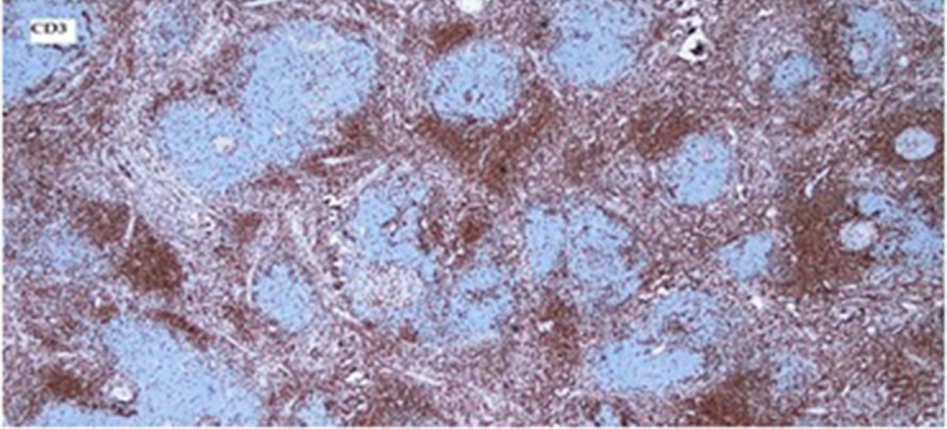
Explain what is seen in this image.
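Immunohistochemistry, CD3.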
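Low-power view of lymphoid tissue with many rounded follicles that stand out as pale blue, largely unstained nodules of varying size. The brown staining is darkest in irregular patches between adjacent follicles and thinner where the tissue is looser. A few scattered brown cells lie within the edges of the pale nodules. Fine vessel profiles and looser stroma interrupt the interfollicular brown zones in places, giving the stained areas a streaked texture.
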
